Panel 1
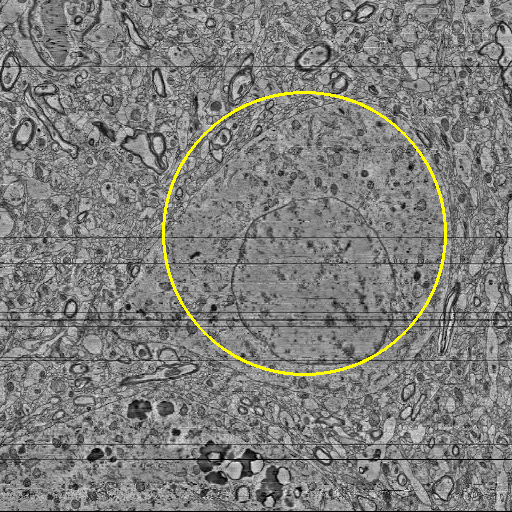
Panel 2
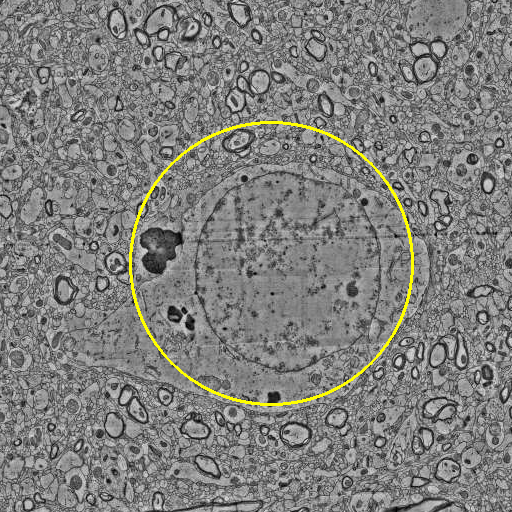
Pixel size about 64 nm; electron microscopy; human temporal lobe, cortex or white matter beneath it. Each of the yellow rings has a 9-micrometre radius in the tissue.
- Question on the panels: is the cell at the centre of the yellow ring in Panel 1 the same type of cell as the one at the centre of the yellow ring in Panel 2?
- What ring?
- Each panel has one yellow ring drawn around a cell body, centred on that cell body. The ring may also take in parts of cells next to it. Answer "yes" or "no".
yes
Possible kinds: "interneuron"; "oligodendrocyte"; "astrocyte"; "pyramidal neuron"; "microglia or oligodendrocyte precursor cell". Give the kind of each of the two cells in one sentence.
Each of the two pictures has a pyramidal neuron at the ring centre.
